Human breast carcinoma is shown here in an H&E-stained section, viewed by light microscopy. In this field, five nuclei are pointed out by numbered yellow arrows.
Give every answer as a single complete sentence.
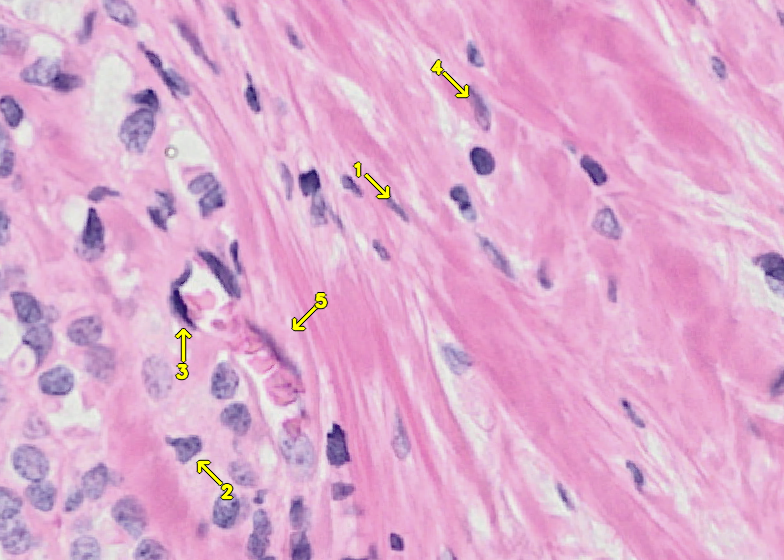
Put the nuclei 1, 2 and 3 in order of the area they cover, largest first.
Going from the biggest nucleus down to the smallest gives 2, 3, 1.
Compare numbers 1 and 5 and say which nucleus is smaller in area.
The smaller nucleus is 1, and 5 covers roughly 1.5 times its area.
